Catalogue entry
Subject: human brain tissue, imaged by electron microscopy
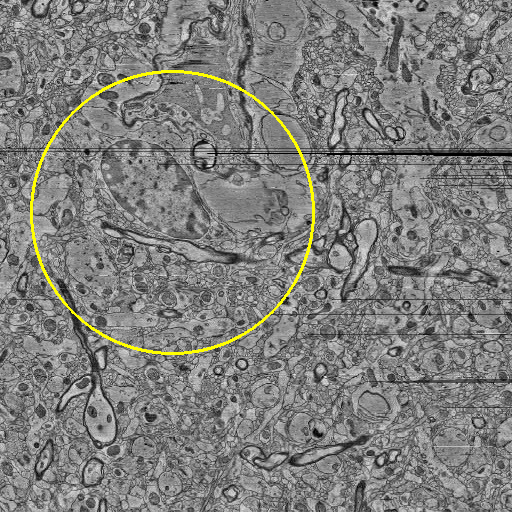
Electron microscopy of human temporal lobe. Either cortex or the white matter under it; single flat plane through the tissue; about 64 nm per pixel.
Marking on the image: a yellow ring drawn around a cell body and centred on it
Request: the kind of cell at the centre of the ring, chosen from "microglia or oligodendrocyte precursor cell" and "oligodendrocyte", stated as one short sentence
The ring has a microglial cell or oligodendrocyte precursor cell at its centre.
